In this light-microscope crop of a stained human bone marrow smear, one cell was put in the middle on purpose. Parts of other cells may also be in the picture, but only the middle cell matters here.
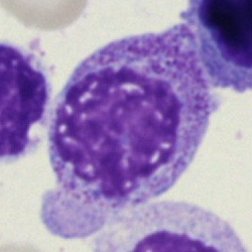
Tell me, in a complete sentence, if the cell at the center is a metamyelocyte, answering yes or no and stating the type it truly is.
No, the centre cell is not a metamyelocyte but a myelocyte.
